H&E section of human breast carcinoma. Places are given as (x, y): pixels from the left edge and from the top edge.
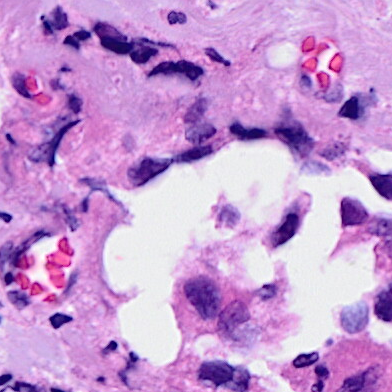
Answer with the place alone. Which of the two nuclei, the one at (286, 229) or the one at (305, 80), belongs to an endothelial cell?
(305, 80)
